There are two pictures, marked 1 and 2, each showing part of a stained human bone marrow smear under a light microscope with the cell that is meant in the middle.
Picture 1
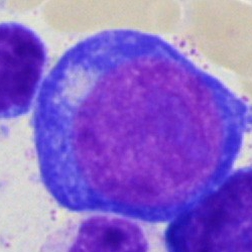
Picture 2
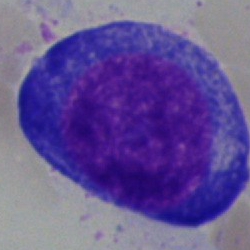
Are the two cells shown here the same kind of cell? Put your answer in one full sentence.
Yes, both cells are proerythroblasts.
